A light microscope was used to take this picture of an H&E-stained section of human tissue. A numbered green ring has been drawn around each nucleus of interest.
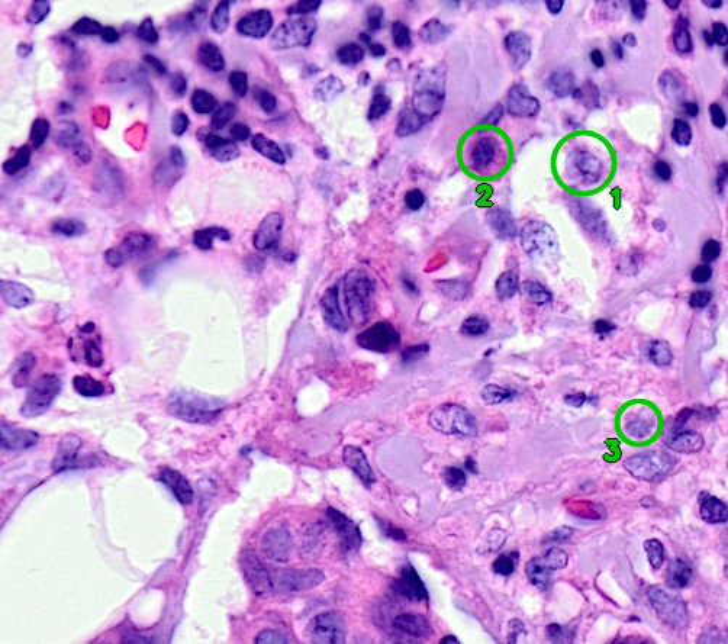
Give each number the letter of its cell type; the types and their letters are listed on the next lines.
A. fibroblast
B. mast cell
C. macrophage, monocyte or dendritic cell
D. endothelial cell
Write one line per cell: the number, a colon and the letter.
1: C
2: B
3: C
